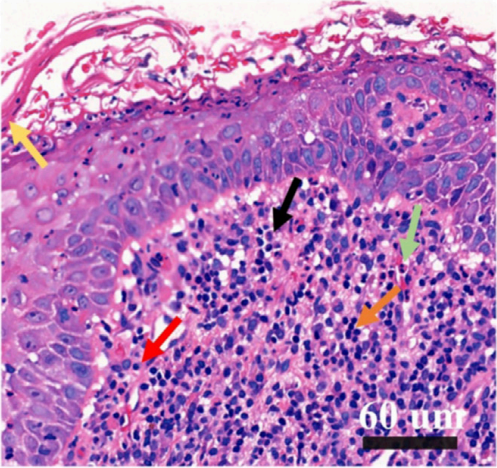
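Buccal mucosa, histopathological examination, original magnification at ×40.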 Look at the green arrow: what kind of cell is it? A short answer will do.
Eosinophils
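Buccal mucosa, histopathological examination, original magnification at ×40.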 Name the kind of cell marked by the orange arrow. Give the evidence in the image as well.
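The arrow points at a small round cell with a dark round nucleus and scant cytoplasm. On this evidence: lymphocytes.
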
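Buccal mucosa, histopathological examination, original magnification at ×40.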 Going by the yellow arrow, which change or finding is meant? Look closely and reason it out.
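Epithelial hyperkeratosis. The arrow points to loose pink flaky layers on top of the epithelial surface. The pink layers lack nuclei.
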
